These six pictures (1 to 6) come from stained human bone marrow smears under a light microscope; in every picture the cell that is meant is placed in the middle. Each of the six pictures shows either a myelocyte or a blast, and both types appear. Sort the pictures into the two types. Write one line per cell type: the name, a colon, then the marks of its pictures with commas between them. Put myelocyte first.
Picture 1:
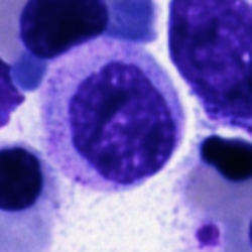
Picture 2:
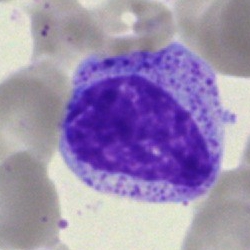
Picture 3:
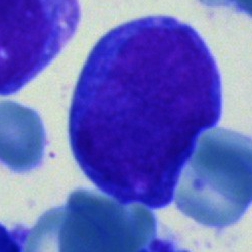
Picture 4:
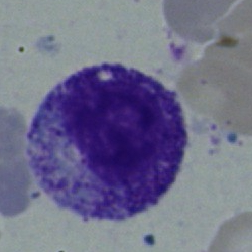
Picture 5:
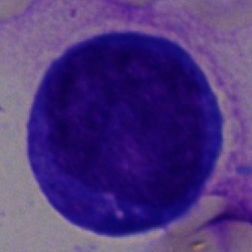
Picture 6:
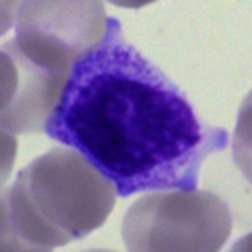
myelocyte: 1, 2, 4, 6
blast: 3, 5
